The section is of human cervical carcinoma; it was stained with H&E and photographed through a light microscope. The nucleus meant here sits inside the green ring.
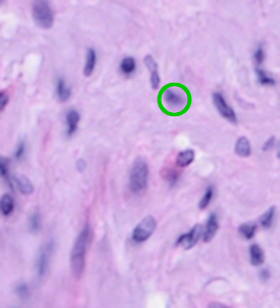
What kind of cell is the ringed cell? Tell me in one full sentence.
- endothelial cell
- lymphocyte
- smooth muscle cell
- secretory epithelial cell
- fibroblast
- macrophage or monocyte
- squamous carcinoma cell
For the purposes of cell typing, the ringed cell is categorized as a fibroblast.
